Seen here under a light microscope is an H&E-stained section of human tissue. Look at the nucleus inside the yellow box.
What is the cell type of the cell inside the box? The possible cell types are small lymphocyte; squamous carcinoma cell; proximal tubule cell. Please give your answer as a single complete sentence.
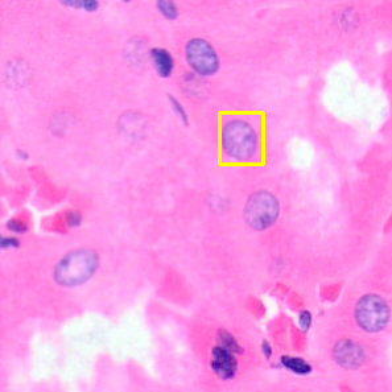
Right, so the cell inside the box is a proximal tubule cell, to answer that.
